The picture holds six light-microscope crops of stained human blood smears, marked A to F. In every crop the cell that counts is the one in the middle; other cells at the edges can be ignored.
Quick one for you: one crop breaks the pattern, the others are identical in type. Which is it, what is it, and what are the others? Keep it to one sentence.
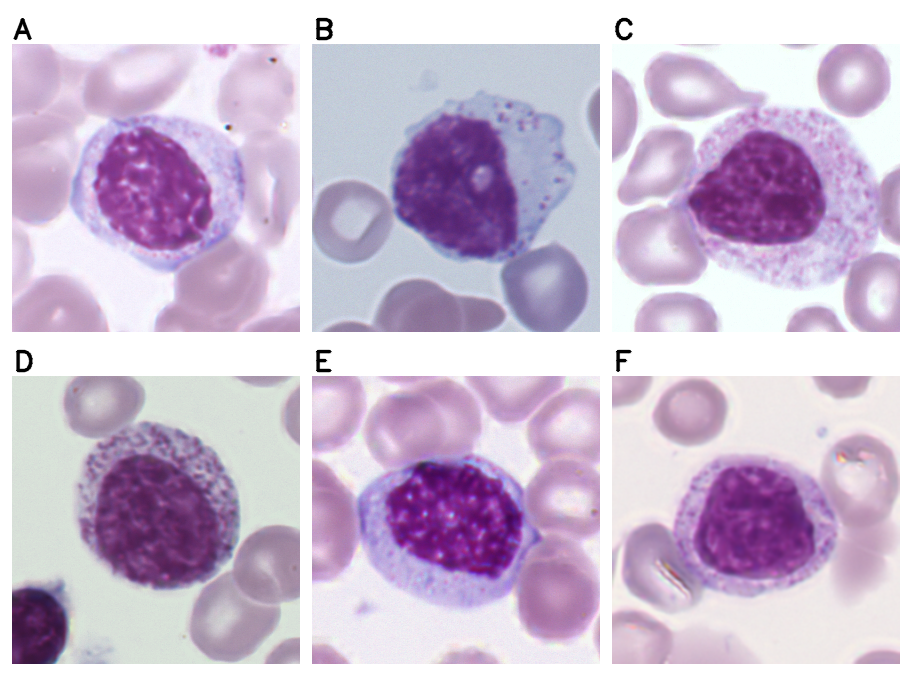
Identified in crop B is a large granular lymphocyte, whereas the other crops all show myelocytes.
